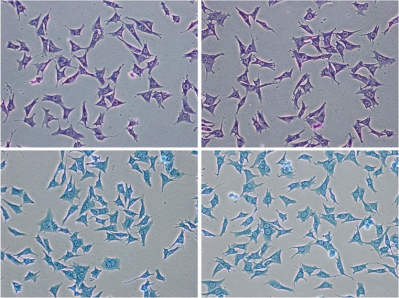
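Sparse cultured cells lie scattered singly and in loose groups on the dish, stained purple in the upper row and blue in the lower row. The cells are polygonal to stellate, with several tapering processes reaching out from the cell body. The stain fills the cytoplasm, and the nucleus shows as a rounded region within it.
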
